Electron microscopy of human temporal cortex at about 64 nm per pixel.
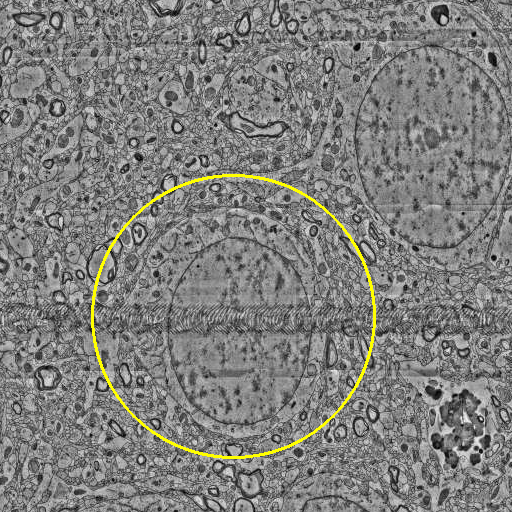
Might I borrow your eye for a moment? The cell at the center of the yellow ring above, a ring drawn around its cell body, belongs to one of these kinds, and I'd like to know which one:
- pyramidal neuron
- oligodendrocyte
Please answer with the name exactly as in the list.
pyramidal neuron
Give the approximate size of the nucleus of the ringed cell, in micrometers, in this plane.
Approximately 12 micrometres long and 9 micrometres wide, in this plane.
